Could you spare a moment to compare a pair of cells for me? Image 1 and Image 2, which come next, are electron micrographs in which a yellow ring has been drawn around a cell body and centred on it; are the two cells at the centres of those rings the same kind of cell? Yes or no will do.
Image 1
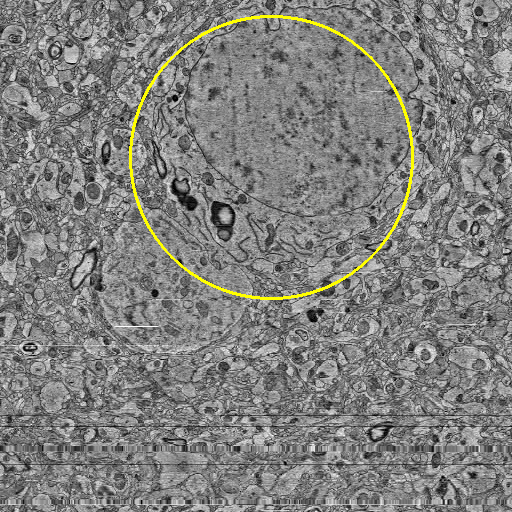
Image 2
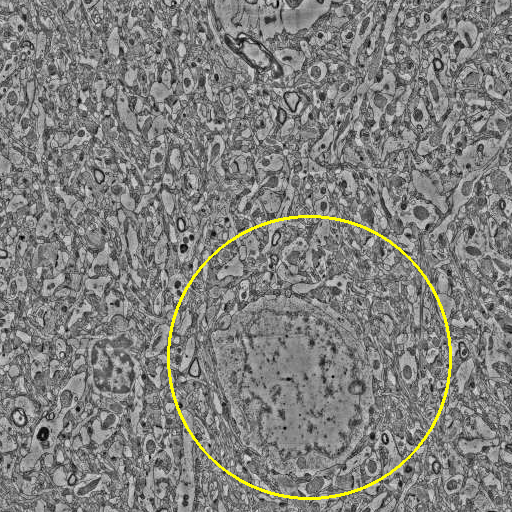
no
